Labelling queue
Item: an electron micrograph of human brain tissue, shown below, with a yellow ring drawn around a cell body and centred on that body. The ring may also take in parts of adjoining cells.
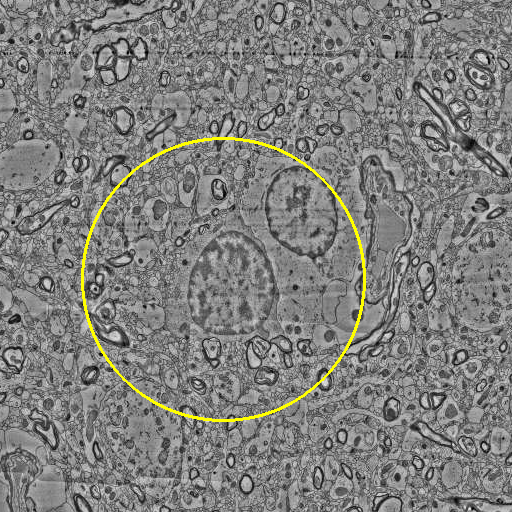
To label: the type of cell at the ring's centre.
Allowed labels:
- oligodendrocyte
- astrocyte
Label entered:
oligodendrocyte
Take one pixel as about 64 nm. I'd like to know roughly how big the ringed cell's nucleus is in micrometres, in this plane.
In this plane, about 7 micrometres in length and 6 in width.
